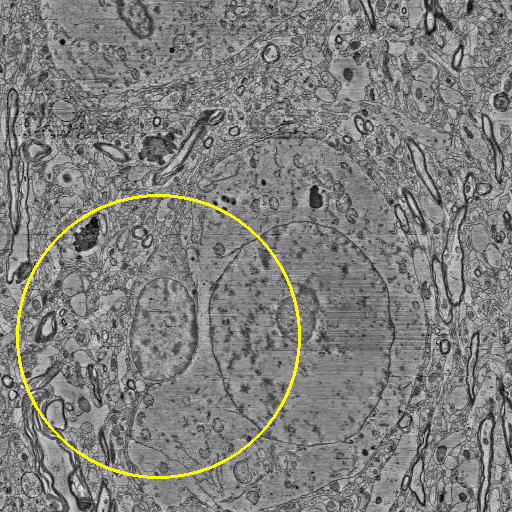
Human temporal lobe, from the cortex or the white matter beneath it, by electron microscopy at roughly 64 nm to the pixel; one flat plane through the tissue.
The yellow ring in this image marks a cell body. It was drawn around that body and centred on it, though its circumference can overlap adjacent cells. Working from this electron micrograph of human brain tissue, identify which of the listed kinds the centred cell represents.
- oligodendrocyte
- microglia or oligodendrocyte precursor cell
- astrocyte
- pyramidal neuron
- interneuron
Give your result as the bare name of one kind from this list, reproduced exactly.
oligodendrocyte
